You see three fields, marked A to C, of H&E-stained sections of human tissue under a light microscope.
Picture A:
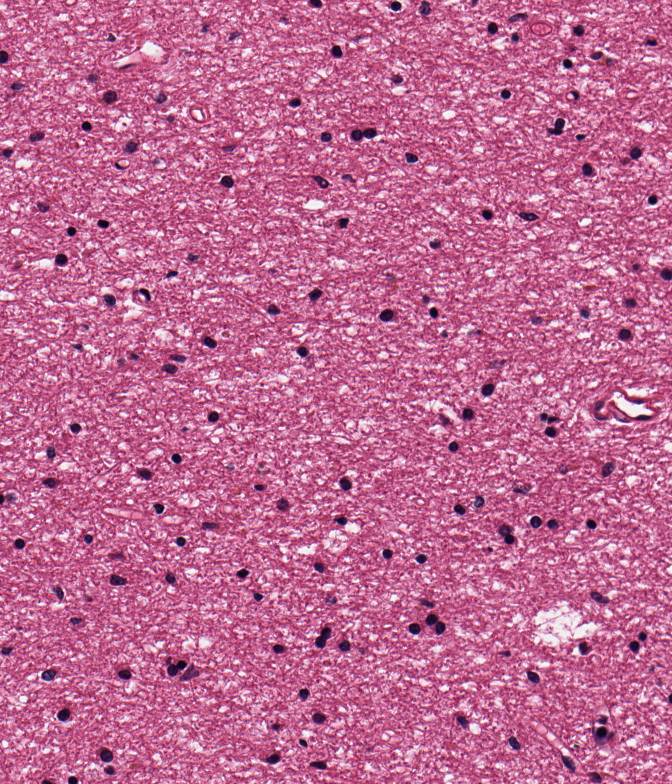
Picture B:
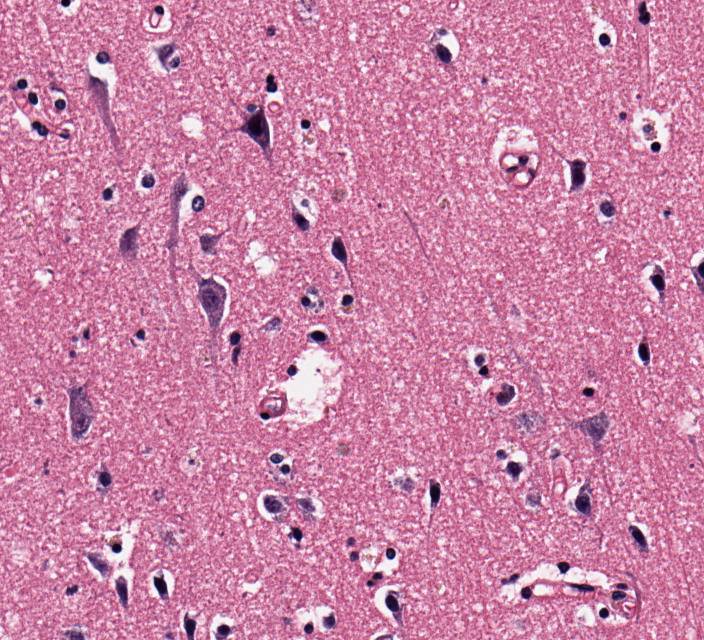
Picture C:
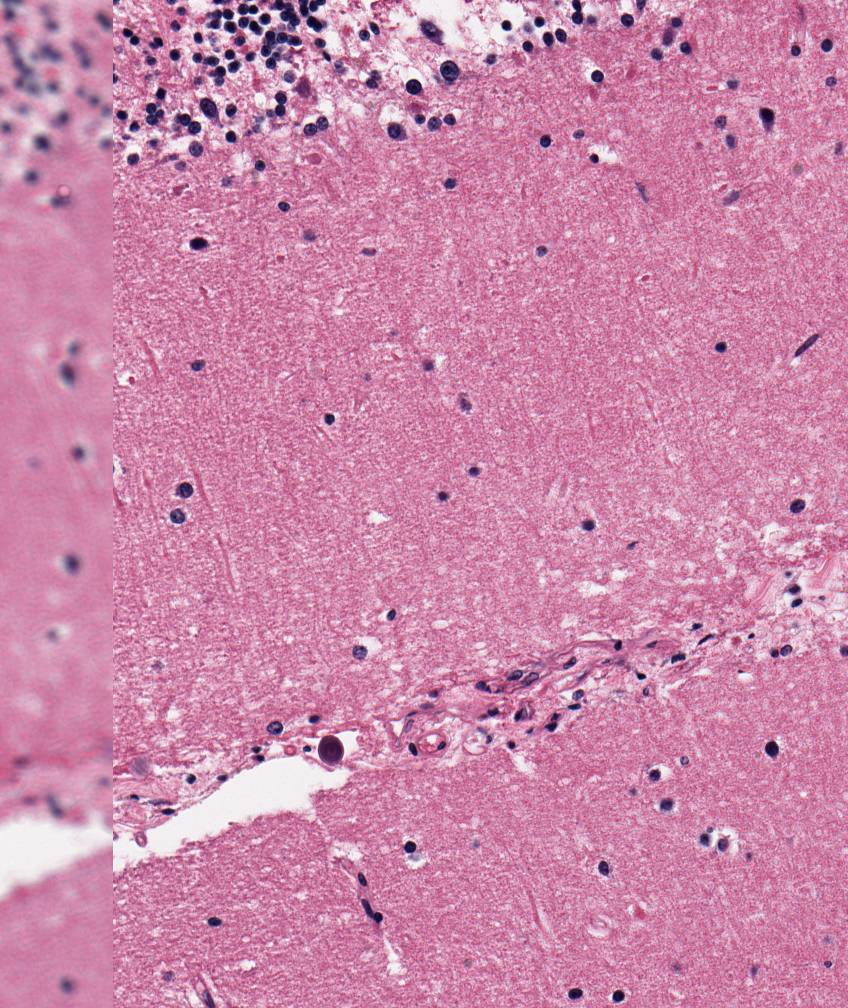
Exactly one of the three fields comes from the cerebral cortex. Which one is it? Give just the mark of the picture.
B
